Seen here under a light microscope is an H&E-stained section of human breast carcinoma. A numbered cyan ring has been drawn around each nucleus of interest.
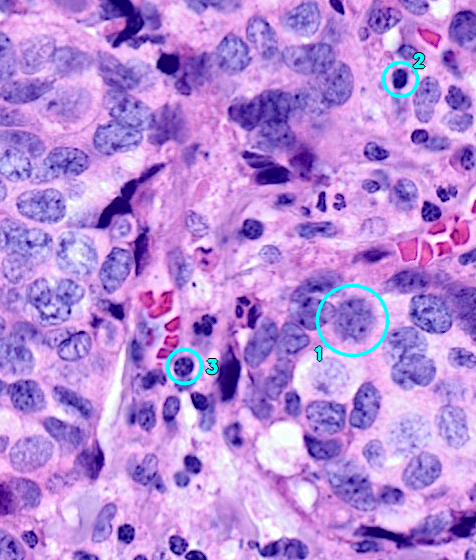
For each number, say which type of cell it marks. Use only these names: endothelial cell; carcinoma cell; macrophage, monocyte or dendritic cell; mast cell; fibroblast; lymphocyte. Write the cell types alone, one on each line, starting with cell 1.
carcinoma cell
lymphocyte
lymphocyte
